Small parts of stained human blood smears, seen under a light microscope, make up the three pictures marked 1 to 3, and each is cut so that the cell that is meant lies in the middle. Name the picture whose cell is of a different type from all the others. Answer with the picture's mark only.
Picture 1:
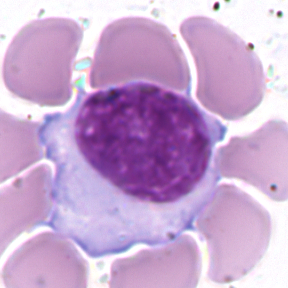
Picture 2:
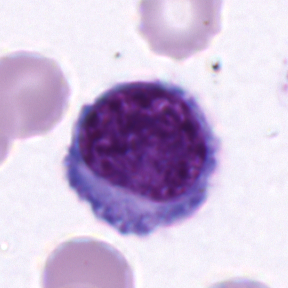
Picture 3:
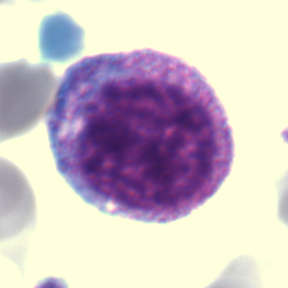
3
